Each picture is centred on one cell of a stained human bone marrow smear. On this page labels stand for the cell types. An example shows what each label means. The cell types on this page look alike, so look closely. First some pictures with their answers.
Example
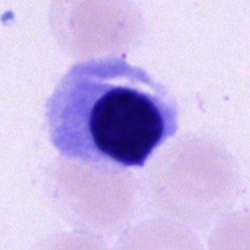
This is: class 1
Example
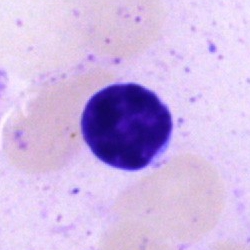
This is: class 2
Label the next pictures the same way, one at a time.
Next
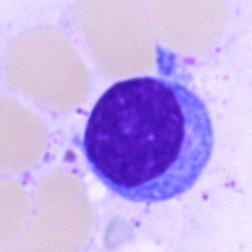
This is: class 2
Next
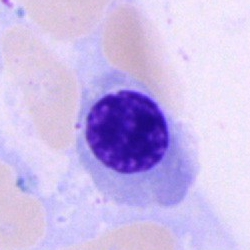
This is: class 1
